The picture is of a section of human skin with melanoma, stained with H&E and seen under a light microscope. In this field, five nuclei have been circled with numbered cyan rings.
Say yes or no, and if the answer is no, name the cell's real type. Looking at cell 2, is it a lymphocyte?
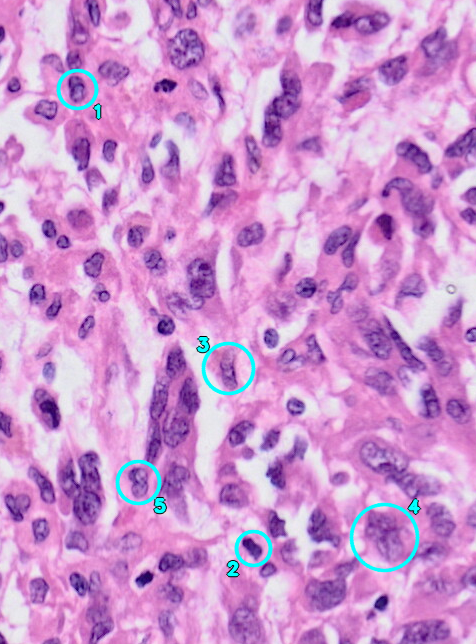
Yes.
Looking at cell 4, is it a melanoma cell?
Yes.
